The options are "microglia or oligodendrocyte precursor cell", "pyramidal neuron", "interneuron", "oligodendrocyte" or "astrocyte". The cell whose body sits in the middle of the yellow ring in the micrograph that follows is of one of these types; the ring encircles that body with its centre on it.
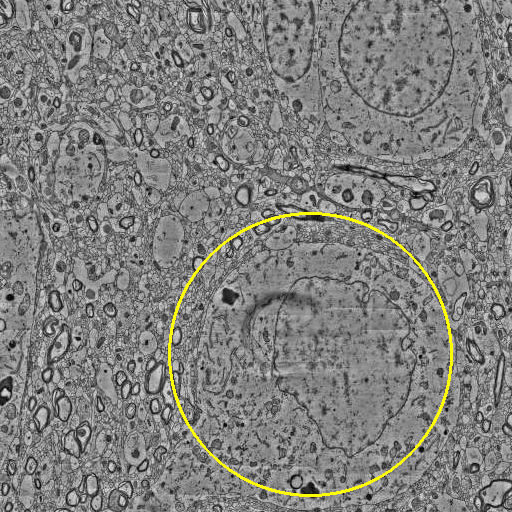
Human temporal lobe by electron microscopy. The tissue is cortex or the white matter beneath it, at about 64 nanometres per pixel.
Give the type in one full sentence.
Going by the micrograph, the cell centred in the yellow ring is a pyramidal neuron.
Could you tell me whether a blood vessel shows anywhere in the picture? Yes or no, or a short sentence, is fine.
No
